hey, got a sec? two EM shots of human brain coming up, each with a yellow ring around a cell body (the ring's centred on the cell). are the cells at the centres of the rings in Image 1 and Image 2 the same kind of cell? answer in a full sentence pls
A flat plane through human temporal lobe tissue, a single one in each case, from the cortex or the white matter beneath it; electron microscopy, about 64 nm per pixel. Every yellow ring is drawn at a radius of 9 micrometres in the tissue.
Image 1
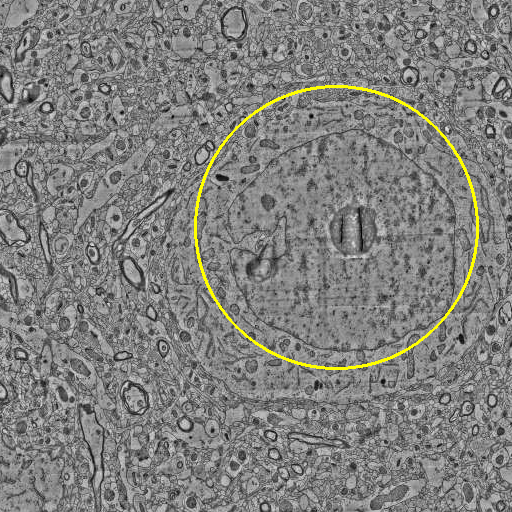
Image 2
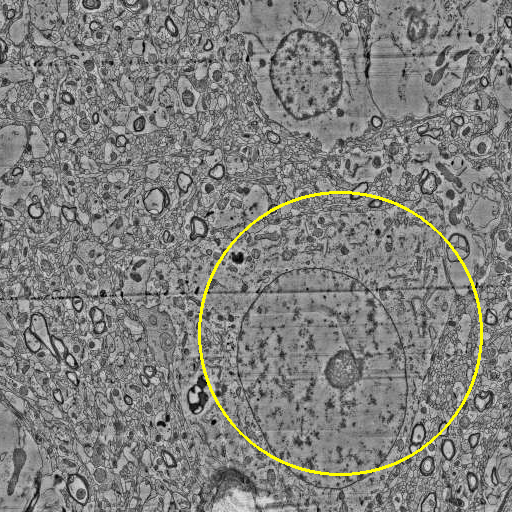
No, they are two kinds of cell.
